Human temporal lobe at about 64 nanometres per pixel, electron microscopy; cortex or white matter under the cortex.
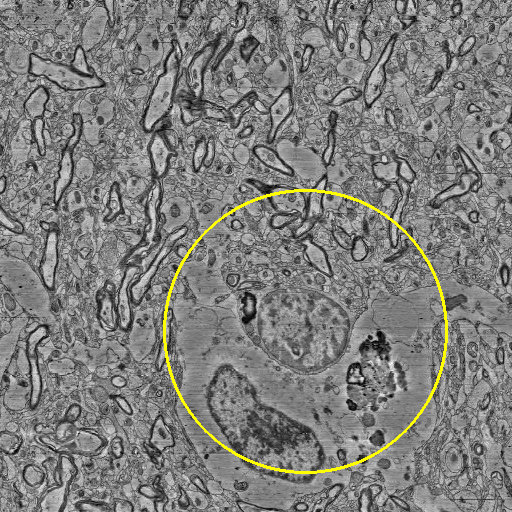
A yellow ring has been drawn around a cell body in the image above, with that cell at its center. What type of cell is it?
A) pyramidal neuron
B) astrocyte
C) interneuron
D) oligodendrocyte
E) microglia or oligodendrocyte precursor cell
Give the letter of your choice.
D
